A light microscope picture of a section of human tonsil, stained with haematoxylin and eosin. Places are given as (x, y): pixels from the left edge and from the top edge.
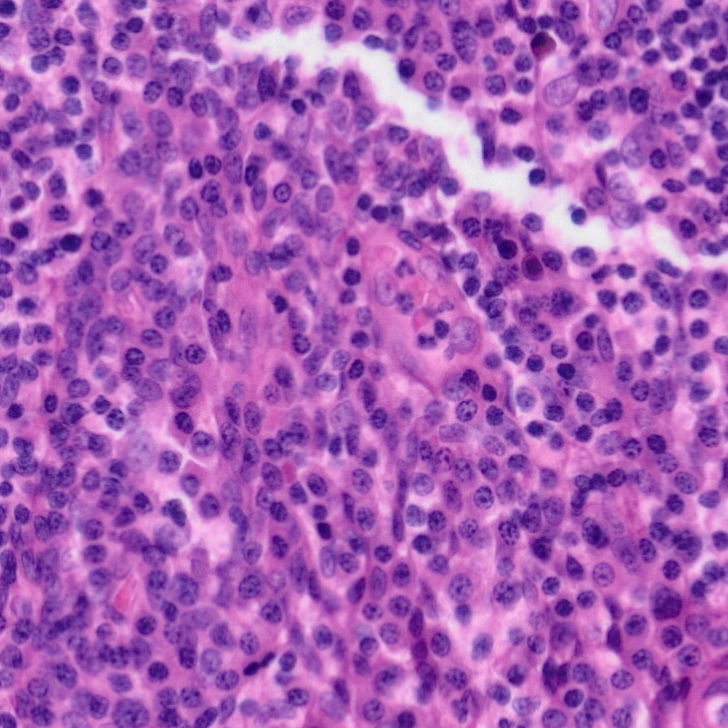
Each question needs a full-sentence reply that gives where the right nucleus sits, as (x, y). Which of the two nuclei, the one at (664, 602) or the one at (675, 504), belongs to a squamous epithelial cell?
So, of the two, the nucleus at (664, 602) is the one belonging to a squamous epithelial cell.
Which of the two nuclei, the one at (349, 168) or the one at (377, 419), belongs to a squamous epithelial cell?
At (349, 168) lies the nucleus that belongs to a squamous epithelial cell.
